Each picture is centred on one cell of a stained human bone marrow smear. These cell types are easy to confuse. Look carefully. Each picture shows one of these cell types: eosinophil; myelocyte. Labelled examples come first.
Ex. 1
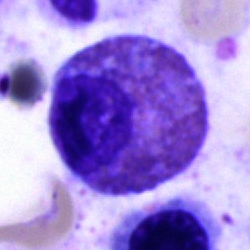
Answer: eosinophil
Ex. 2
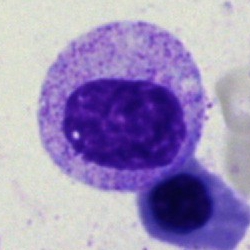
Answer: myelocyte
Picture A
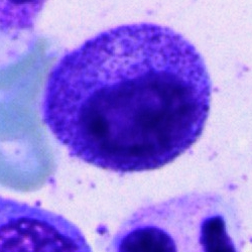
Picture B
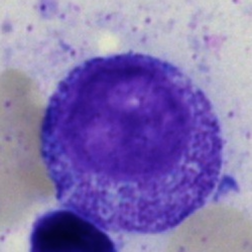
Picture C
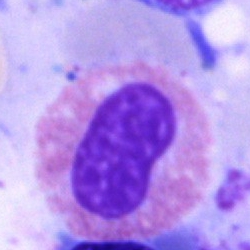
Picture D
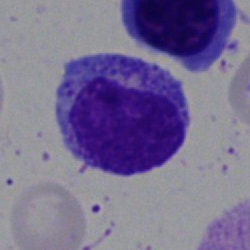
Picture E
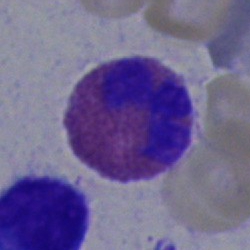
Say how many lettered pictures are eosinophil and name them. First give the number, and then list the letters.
2, namely C, E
